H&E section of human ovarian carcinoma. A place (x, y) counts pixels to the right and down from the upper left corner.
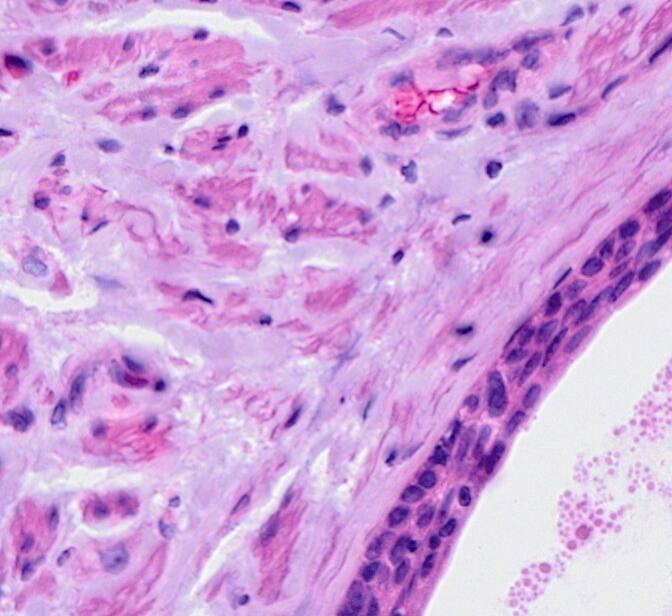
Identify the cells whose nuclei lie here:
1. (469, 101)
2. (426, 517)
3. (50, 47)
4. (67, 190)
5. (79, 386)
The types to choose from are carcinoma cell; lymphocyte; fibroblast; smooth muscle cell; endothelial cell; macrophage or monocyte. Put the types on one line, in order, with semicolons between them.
endothelial cell; carcinoma cell; smooth muscle cell; smooth muscle cell; endothelial cell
